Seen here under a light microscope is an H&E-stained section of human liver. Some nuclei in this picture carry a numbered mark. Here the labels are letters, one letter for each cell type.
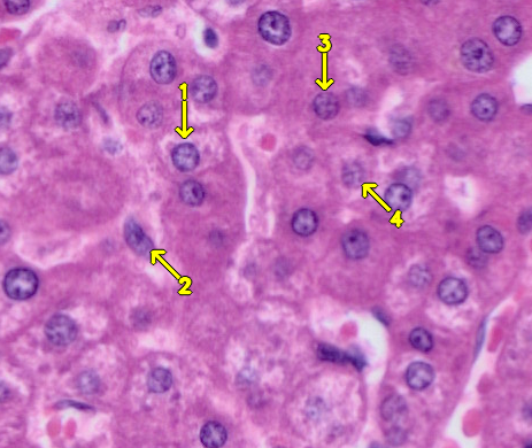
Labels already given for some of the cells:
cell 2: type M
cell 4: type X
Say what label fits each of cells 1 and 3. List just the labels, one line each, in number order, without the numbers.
type X
type X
